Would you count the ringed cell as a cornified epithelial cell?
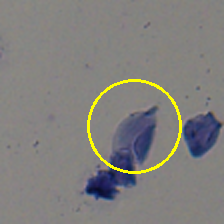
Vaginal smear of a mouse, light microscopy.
Yes, I would count it as a cornified epithelial cell.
